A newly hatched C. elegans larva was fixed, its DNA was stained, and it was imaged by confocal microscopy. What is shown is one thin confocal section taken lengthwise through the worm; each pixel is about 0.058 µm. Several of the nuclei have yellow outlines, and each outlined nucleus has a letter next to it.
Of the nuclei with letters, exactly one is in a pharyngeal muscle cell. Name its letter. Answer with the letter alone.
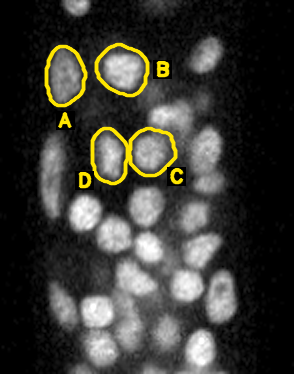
C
